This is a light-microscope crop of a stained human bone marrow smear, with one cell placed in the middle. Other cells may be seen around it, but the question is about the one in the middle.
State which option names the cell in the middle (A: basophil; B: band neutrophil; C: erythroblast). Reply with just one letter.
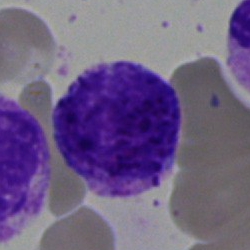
A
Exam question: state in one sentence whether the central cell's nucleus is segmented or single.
The nucleus is one compact mass, round, oval or kidney-shaped in outline.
